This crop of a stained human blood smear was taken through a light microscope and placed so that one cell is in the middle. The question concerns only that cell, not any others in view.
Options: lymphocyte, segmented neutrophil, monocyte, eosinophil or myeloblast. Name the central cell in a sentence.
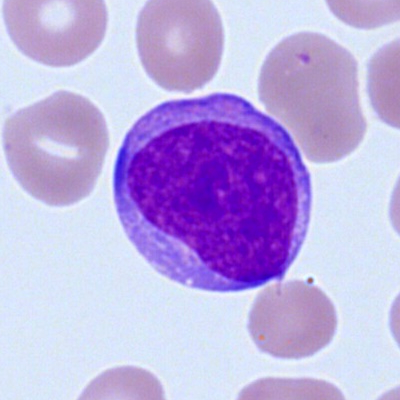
Regarding the central cell, it is a myeloblast.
